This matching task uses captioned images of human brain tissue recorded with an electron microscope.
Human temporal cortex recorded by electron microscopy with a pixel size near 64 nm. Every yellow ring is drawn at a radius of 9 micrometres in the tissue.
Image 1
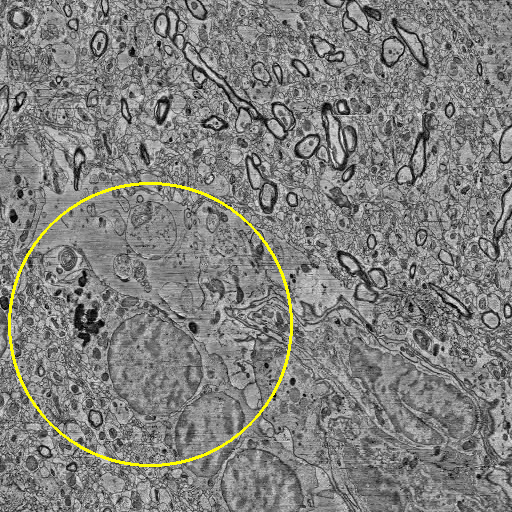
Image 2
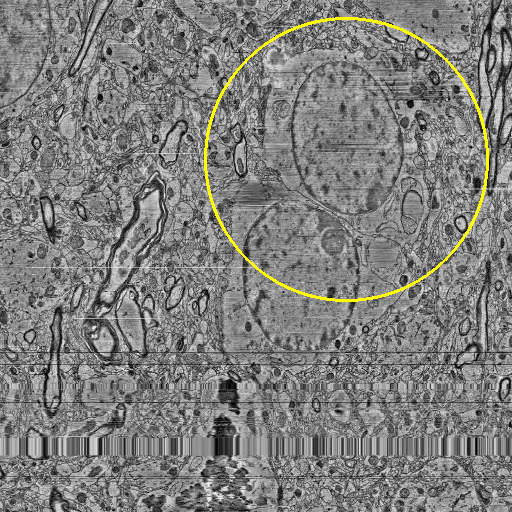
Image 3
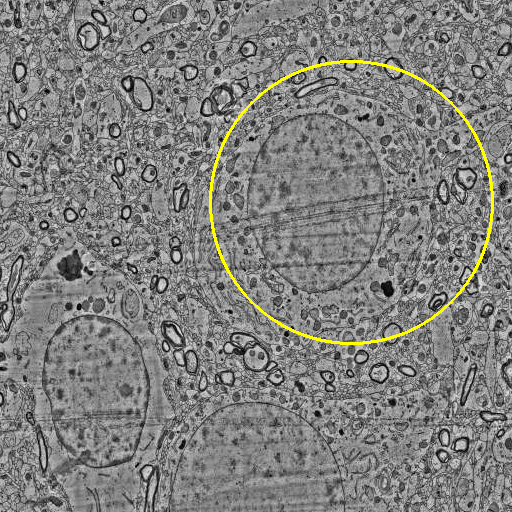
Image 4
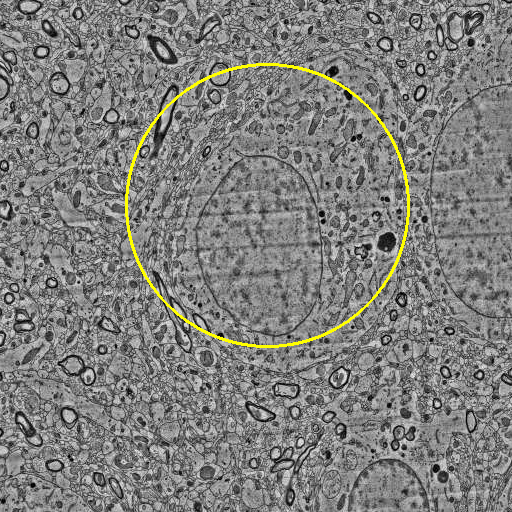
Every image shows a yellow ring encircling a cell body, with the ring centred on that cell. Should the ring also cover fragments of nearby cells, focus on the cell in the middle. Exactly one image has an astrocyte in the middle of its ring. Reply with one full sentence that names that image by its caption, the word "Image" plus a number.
Image 2 shows the cell in question at the centre of its yellow ring.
